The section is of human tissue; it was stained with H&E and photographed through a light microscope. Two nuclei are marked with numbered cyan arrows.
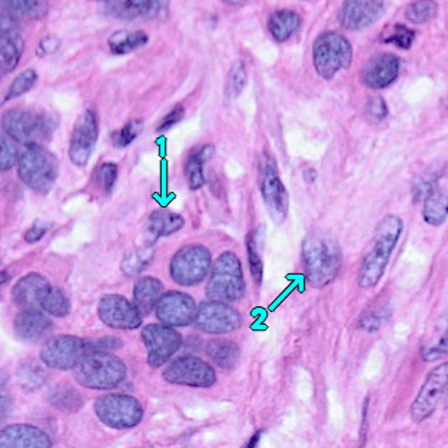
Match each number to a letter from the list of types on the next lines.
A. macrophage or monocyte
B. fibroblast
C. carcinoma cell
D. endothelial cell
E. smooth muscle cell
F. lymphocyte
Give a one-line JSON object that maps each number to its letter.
{"1": "A", "2": "B"}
